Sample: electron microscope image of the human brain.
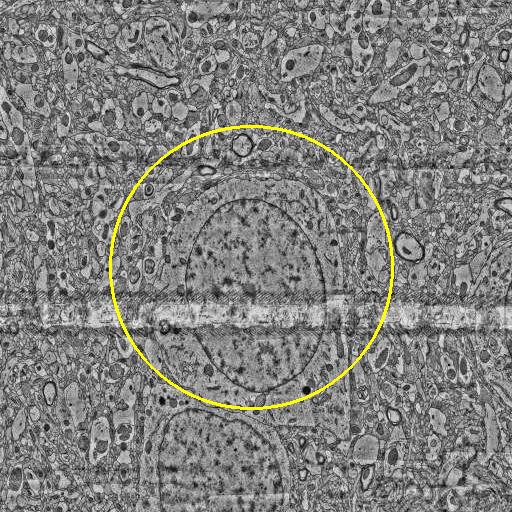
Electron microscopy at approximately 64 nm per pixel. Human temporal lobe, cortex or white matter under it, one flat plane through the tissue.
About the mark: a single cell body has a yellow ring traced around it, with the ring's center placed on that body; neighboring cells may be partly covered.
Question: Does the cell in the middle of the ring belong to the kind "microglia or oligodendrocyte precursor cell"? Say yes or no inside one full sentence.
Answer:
No, the cell at the ring's center in this image belongs to a different kind.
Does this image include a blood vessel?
No, there is no blood vessel in the image.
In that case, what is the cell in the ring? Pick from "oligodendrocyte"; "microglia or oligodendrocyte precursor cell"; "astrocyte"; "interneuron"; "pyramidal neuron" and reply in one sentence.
What the ring encloses here is a pyramidal neuron.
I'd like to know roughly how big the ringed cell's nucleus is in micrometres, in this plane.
The nucleus appears roughly 12 by 9 micrometres in this plane.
